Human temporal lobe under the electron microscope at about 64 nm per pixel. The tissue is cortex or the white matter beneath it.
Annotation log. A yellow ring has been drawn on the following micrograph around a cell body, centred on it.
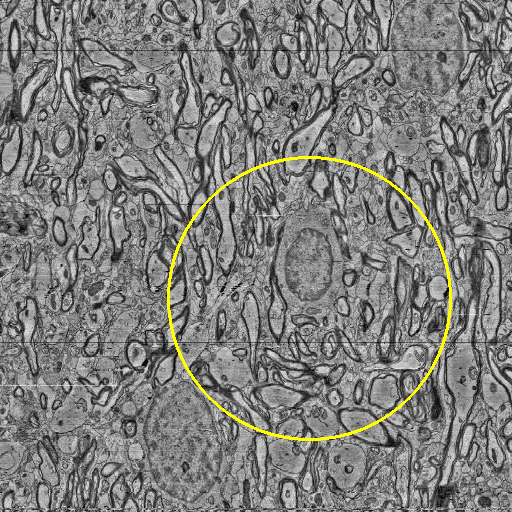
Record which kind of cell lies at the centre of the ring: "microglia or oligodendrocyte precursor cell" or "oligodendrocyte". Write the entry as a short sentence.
The cell the ring is centred on is an oligodendrocyte.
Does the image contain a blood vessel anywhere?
No, a blood vessel is absent from this picture.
